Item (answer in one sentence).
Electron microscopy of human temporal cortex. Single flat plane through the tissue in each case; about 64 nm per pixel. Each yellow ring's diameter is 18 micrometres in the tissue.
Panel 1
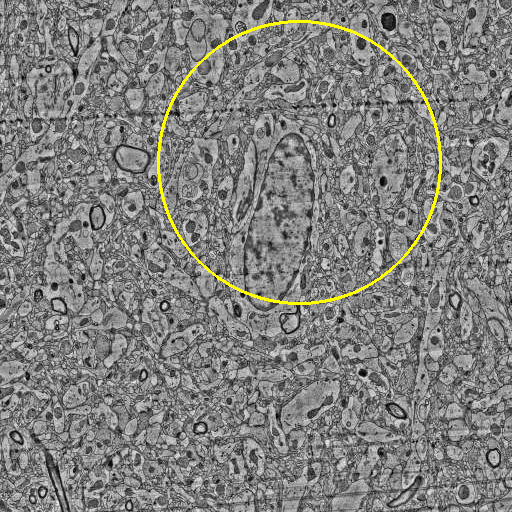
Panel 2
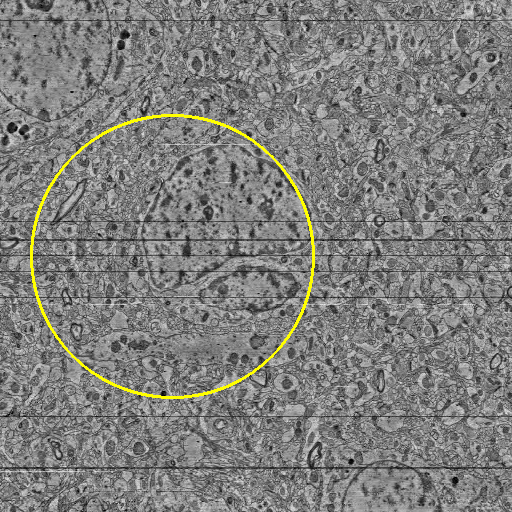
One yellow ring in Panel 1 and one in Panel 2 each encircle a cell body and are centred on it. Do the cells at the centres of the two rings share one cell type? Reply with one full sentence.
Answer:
Yes, Panel 1 and Panel 2 show cells of one type at the centres of their rings.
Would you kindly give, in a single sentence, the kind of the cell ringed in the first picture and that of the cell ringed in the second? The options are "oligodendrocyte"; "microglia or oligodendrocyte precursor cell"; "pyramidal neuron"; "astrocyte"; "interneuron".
Each of the two rings surrounds a microglial cell or oligodendrocyte precursor cell.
